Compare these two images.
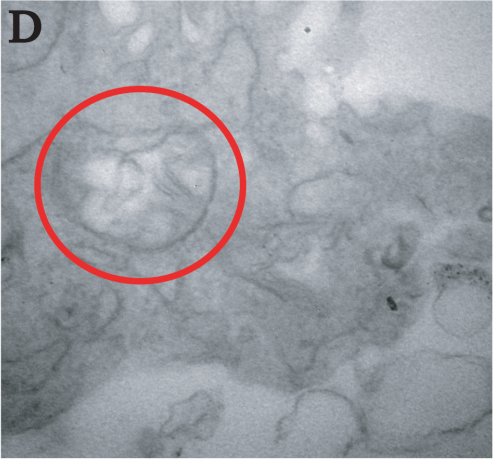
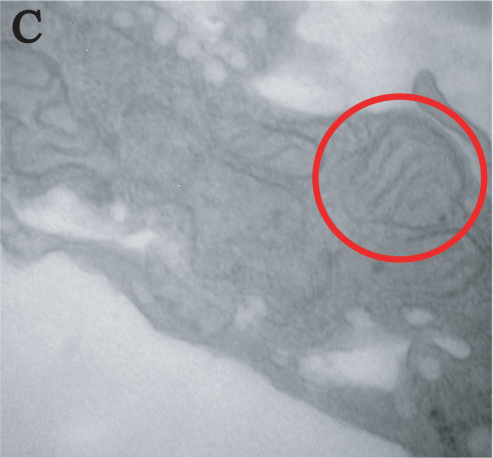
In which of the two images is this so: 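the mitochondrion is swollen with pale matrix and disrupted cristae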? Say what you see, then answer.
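First image: the circled mitochondrion has a pale, washed-out interior with few fragmented cristae. Second image: the circled mitochondrion has a dense matrix crossed by many regular parallel cristae.
Hence: the first image.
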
